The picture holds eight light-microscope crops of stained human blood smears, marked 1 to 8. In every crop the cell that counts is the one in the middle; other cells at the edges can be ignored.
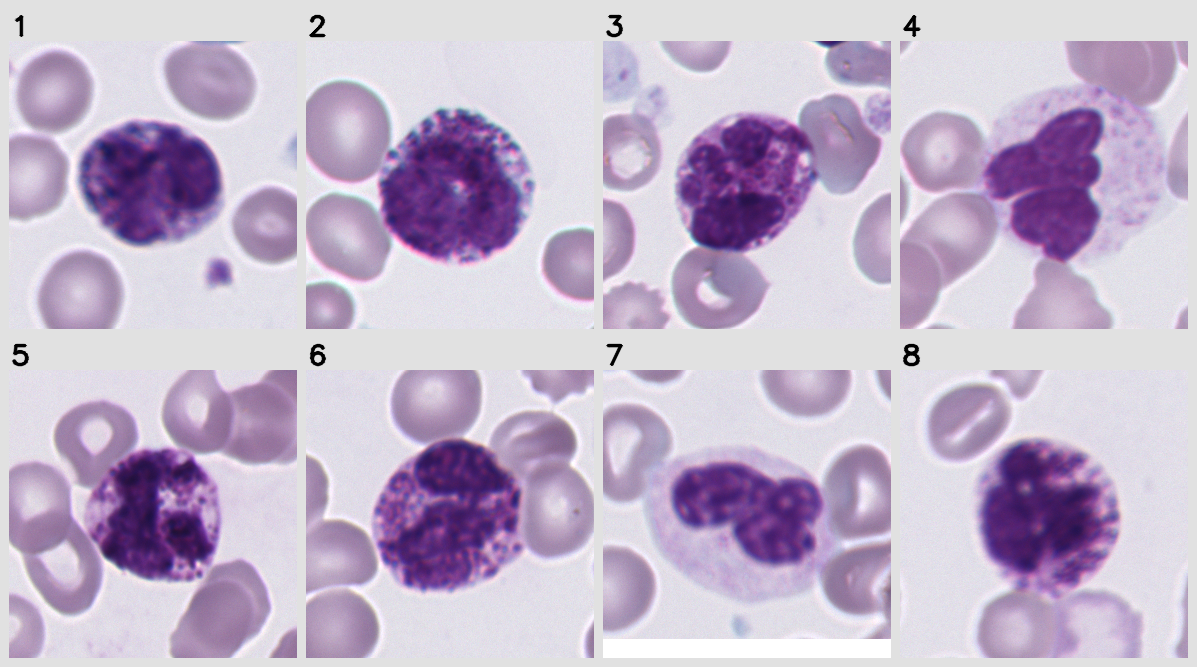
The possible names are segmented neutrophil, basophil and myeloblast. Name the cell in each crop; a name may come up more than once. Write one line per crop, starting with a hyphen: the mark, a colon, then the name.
- 1: basophil
- 2: basophil
- 3: basophil
- 4: segmented neutrophil
- 5: basophil
- 6: basophil
- 7: segmented neutrophil
- 8: basophil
